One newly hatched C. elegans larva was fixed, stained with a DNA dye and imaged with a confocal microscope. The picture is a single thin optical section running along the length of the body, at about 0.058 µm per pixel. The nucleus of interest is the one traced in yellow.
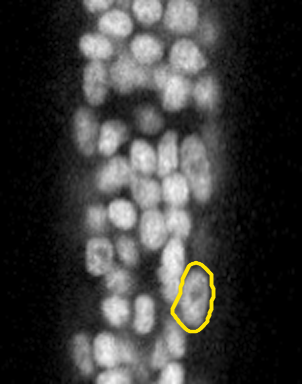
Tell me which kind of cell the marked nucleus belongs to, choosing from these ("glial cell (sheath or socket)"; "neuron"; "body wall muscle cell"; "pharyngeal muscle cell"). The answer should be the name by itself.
body wall muscle cell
